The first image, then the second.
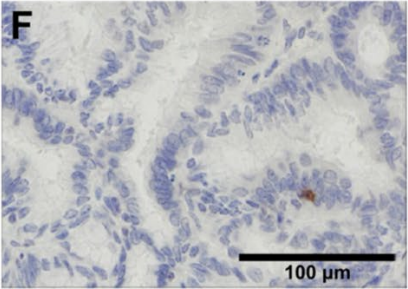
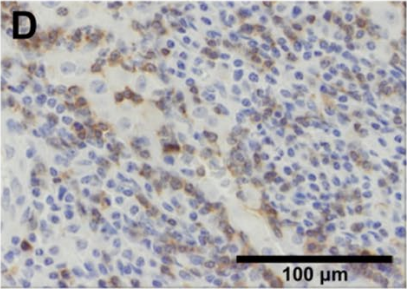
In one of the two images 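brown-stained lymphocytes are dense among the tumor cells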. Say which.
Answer: The second image.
